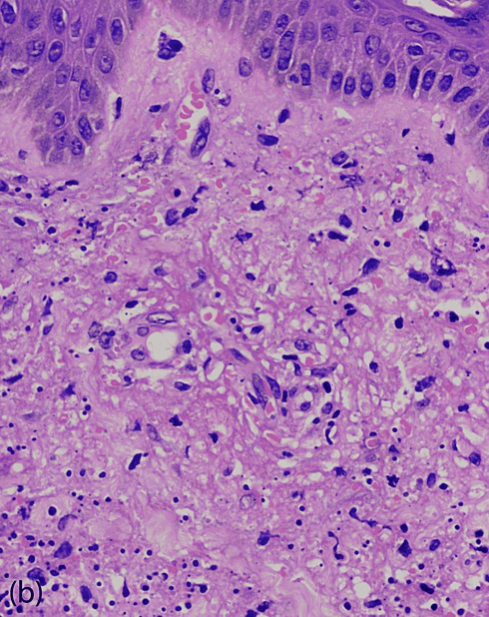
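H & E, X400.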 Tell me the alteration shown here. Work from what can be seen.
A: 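Leukocytoclasia. Many small dark round nuclear fragments are scattered through the dermis. Fragmented, irregular dark nuclei lie among intact inflammatory cells.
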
